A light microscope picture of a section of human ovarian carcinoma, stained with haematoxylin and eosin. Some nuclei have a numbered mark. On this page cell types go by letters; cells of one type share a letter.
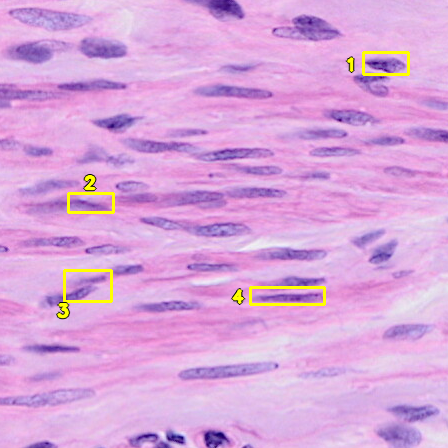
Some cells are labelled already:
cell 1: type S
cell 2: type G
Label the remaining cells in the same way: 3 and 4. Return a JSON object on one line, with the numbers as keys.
{"3": "type G", "4": "type G"}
